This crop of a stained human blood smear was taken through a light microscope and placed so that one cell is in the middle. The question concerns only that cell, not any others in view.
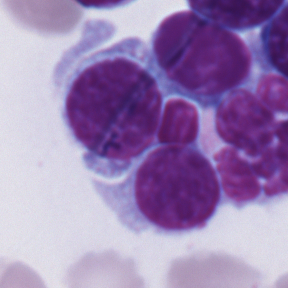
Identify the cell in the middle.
blast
